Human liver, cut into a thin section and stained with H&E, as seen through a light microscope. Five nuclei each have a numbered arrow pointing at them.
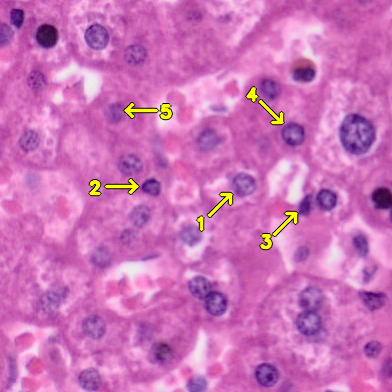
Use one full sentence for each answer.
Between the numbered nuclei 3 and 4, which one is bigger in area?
Number 4 is larger; its area is about 1.5 times that of number 3.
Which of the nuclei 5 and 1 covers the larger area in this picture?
At about 2 times the area of nucleus 5, nucleus 1 is the larger of the two.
